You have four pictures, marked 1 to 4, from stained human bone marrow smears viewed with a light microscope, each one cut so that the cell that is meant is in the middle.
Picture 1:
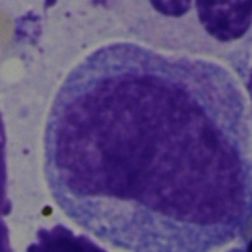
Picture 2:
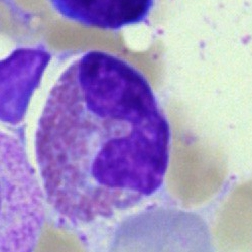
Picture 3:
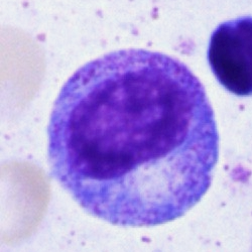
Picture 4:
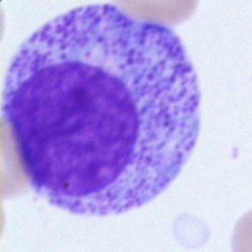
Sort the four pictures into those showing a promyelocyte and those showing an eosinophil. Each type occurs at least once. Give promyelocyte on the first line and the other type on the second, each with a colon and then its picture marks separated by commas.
promyelocyte: 1, 3, 4
eosinophil: 2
